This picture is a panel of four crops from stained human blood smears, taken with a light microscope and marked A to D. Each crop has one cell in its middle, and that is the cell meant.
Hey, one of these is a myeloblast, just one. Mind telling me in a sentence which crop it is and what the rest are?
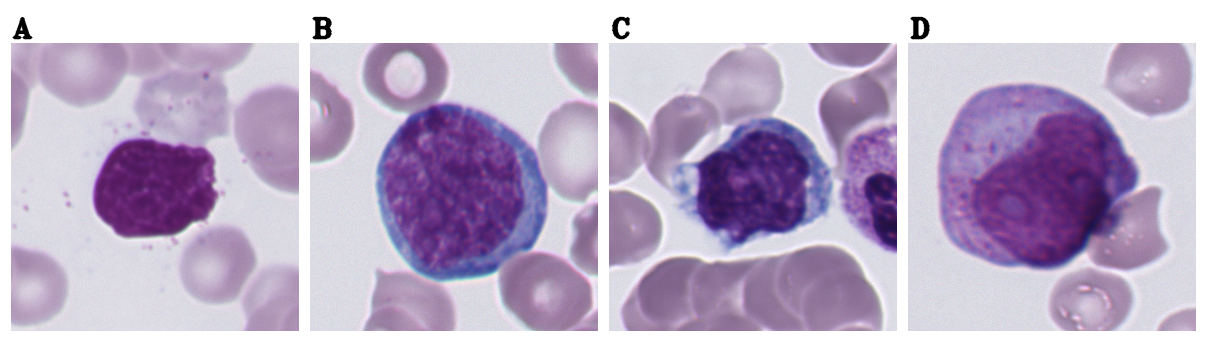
Crop B corresponds to a myeloblast, whereas crop A is a smudge cell, crop C is a monocyte and crop D is an atypical promyelocyte.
